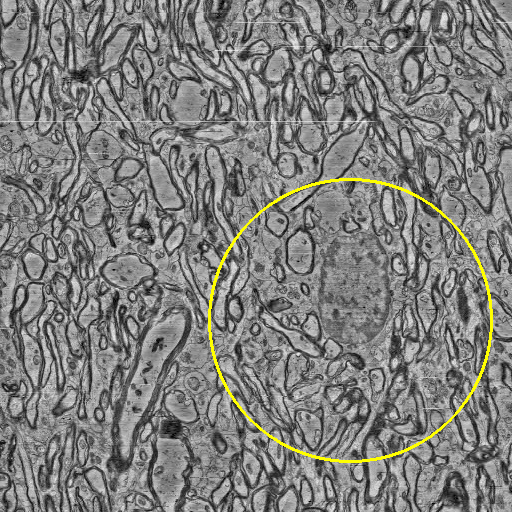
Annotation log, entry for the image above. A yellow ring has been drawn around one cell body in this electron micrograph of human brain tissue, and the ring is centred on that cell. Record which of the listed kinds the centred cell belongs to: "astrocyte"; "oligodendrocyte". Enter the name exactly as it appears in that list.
oligodendrocyte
